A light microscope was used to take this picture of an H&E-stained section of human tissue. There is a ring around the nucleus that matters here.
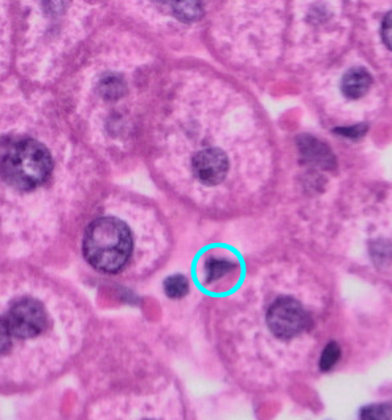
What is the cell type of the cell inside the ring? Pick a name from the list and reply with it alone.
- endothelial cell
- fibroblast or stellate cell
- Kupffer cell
endothelial cell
